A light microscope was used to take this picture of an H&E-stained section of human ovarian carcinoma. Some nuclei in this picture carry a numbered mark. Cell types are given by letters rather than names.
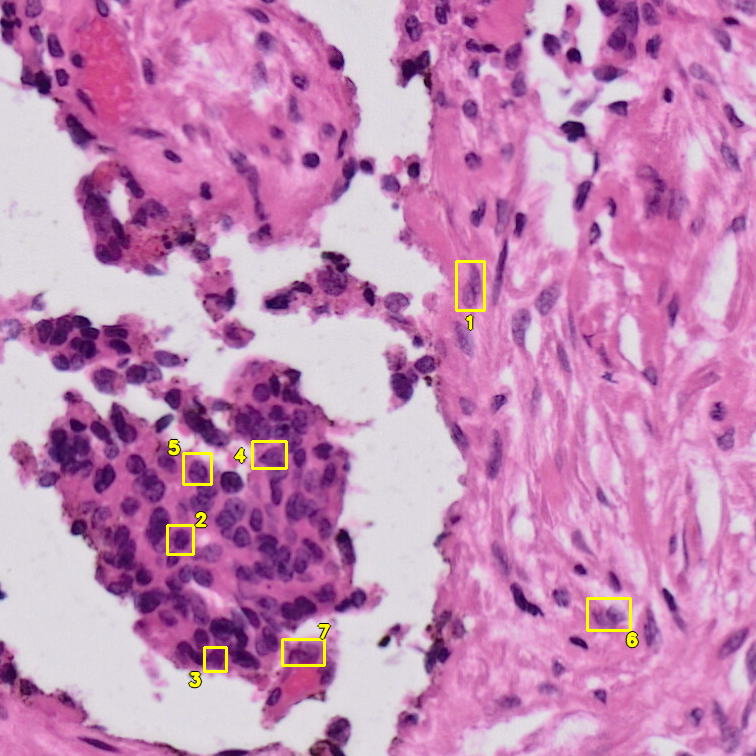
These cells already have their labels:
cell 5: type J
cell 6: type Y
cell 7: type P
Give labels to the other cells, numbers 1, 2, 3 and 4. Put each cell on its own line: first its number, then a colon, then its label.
1: type Y
2: type J
3: type J
4: type J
